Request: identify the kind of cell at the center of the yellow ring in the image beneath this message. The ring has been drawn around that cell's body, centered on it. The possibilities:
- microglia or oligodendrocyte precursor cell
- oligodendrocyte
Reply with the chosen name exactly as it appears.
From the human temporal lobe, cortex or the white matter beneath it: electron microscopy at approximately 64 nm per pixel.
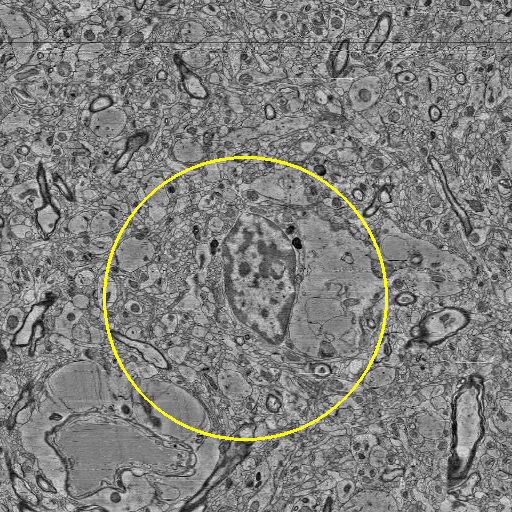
microglia or oligodendrocyte precursor cell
